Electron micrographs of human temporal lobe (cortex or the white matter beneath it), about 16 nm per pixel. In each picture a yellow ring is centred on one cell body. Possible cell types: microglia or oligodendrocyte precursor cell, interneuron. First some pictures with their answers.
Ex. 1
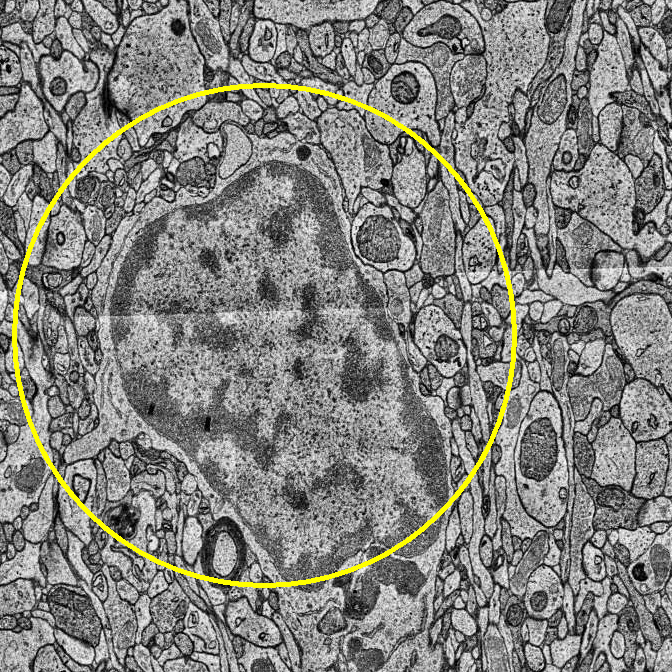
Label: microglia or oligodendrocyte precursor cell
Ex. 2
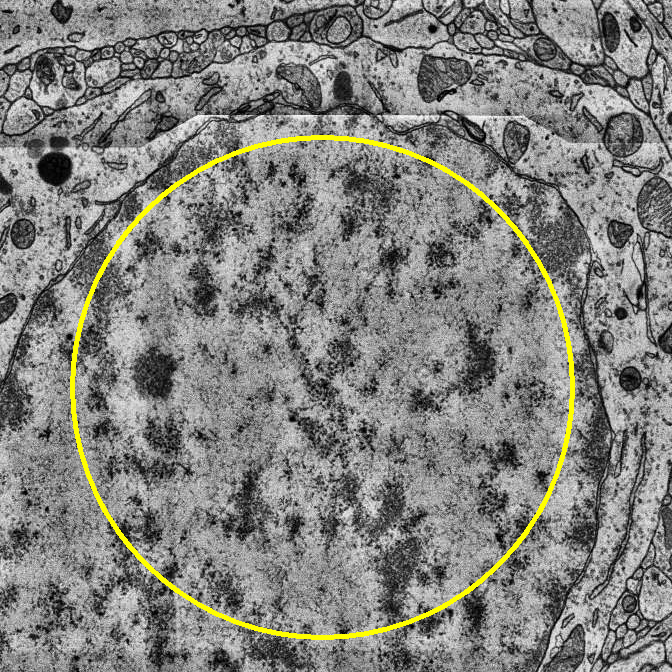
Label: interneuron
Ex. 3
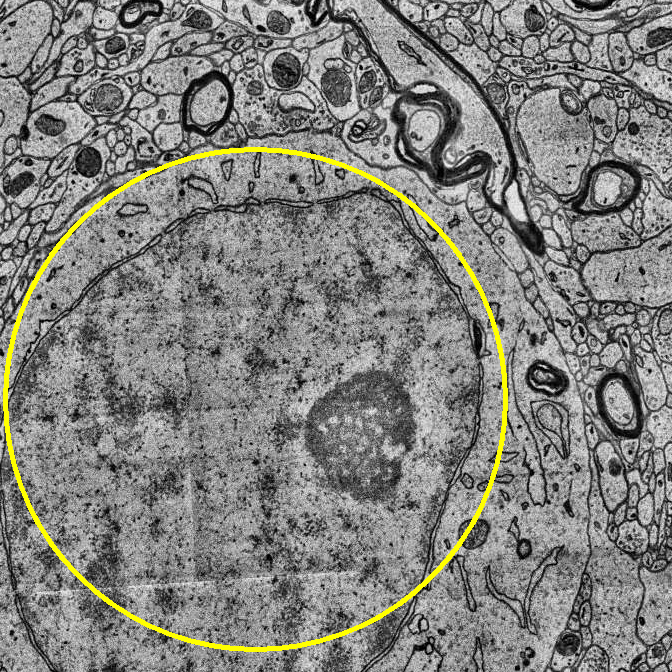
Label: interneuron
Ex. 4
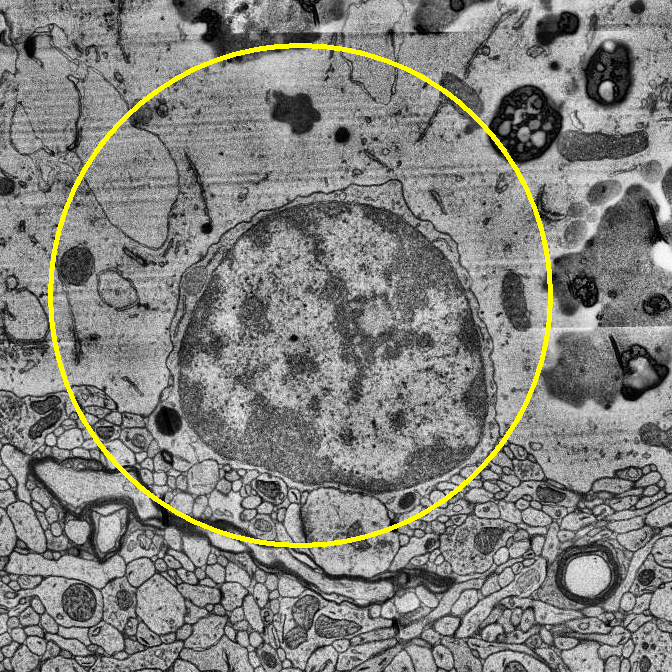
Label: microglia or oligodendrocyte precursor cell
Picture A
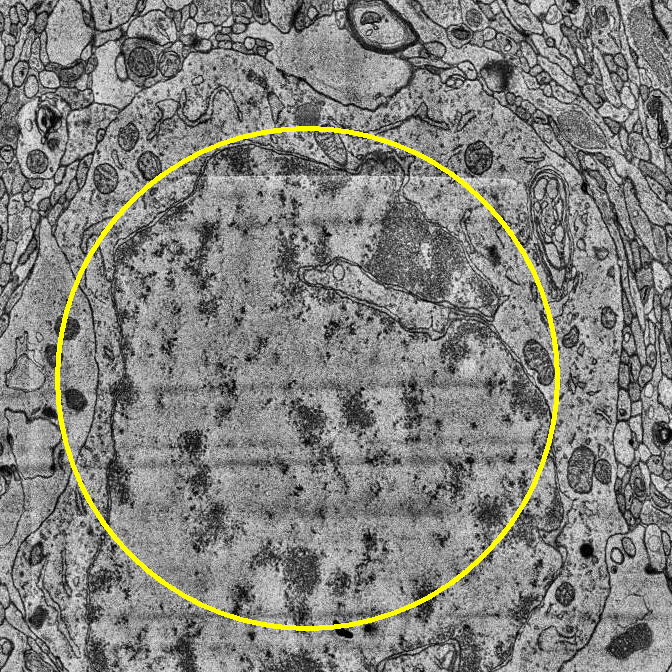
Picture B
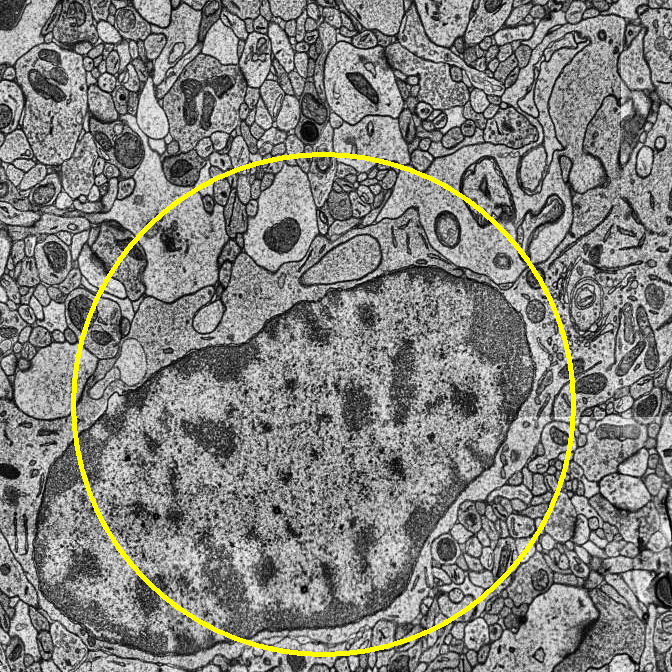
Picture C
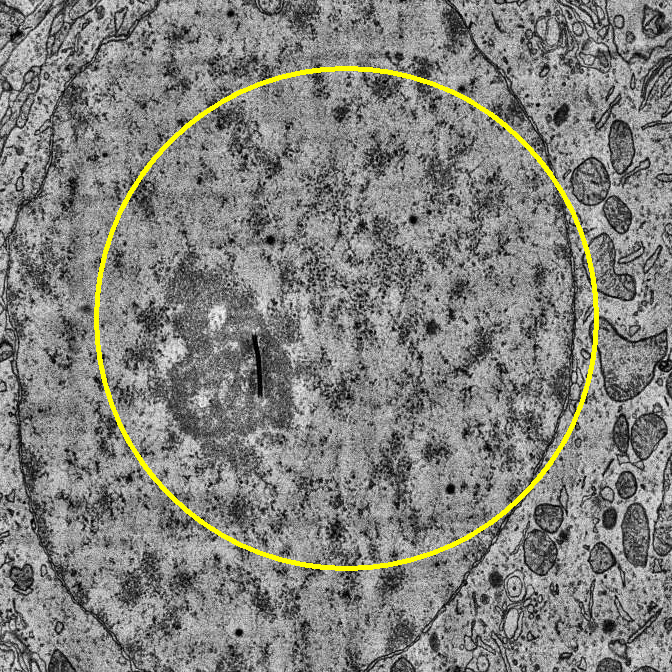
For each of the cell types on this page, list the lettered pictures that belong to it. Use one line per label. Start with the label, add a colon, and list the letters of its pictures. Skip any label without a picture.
microglia or oligodendrocyte precursor cell: B
interneuron: A, C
